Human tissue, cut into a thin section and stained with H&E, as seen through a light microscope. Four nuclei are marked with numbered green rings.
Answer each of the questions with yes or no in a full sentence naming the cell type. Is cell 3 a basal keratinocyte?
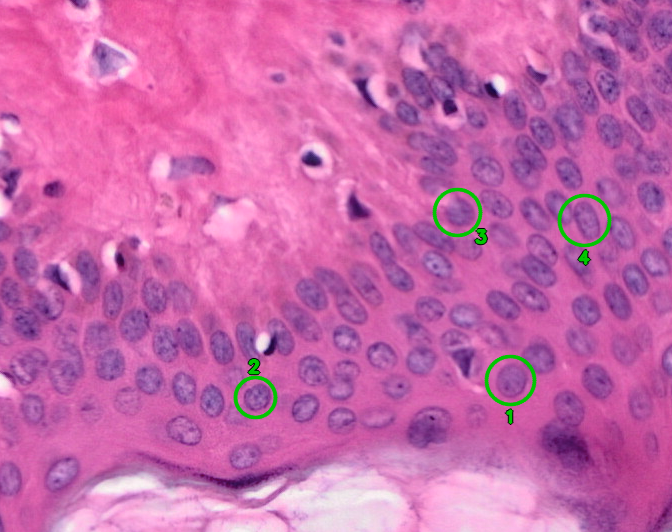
Yes, the cell marked by the number 3 is a basal keratinocyte.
